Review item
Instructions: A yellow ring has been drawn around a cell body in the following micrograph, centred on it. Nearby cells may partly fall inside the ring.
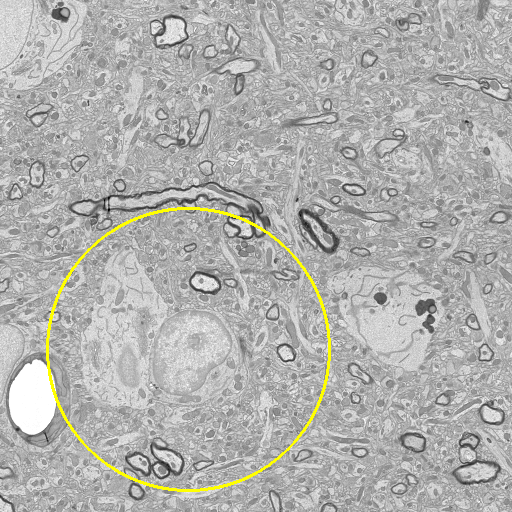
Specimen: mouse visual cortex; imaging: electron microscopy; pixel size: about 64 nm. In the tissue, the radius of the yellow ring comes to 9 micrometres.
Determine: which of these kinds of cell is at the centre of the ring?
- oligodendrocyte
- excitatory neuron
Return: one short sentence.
The cell body in the middle of the ring is that of an oligodendrocyte.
